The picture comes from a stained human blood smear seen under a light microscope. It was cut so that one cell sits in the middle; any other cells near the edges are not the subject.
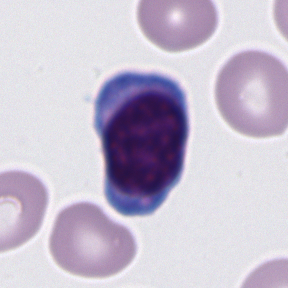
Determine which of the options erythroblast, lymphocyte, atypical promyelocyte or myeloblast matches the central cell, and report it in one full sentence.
The cell in the middle of the field of view is an erythroblast.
